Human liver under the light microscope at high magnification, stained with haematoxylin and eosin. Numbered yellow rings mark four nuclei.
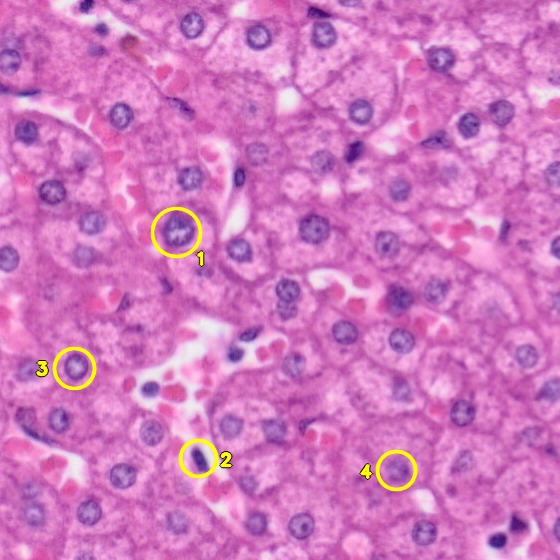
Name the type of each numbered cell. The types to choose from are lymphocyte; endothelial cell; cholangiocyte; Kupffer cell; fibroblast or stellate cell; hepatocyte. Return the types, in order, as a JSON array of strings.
["hepatocyte", "lymphocyte", "hepatocyte", "hepatocyte"]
